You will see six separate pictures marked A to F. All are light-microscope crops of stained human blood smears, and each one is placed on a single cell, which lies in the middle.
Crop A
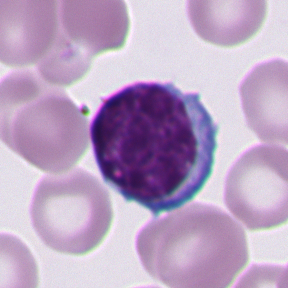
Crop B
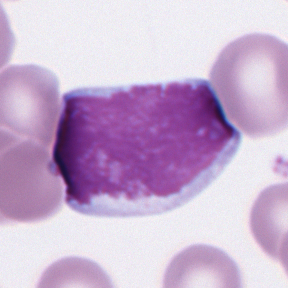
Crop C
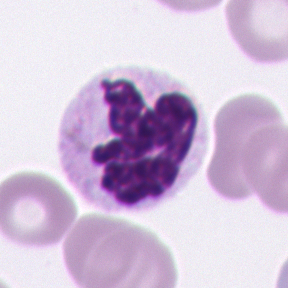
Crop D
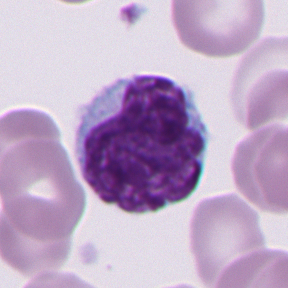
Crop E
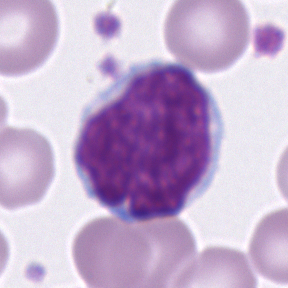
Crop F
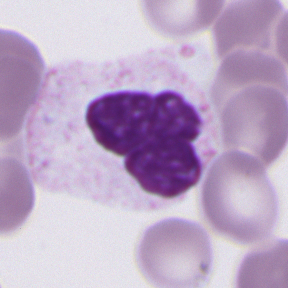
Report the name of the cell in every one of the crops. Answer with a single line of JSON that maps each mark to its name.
{"A": "typical lymphocyte", "B": "typical lymphocyte", "C": "segmented neutrophil", "D": "typical lymphocyte", "E": "typical lymphocyte", "F": "segmented neutrophil"}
